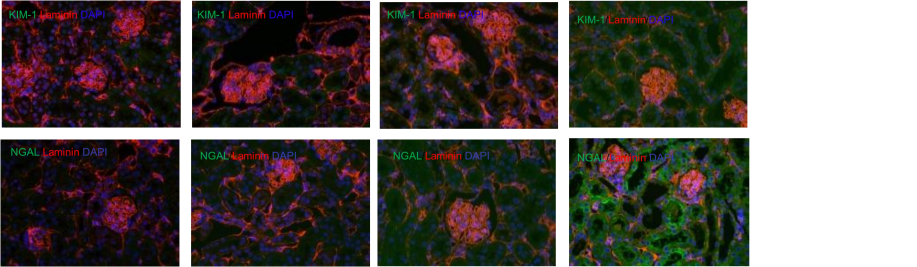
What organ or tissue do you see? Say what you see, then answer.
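Kidney. Round, lobulated capillary tufts lie among many tubule cross-sections. Red lines outline the tubules and the round tufts. Blue nuclei line the tubules.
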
